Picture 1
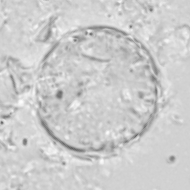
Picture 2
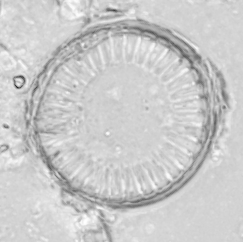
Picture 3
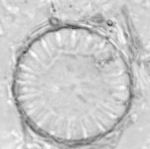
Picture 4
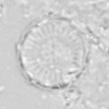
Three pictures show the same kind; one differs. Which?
Picture 4: Discostella, while the others are Cyclotella.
